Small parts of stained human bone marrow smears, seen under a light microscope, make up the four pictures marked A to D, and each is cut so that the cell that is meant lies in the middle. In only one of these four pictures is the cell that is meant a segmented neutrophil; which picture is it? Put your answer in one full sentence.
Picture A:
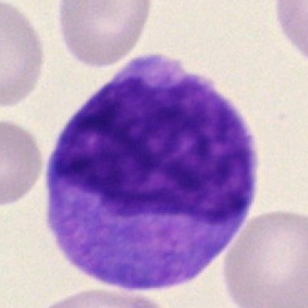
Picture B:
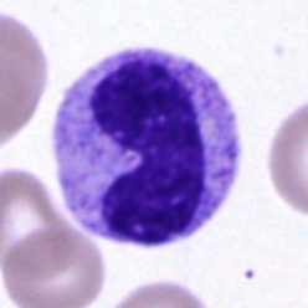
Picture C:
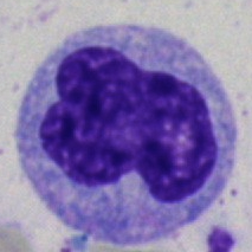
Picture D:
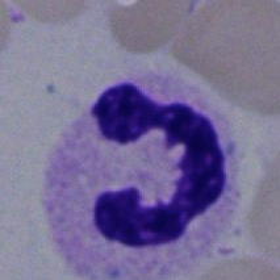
It is picture D that shows the segmented neutrophil.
